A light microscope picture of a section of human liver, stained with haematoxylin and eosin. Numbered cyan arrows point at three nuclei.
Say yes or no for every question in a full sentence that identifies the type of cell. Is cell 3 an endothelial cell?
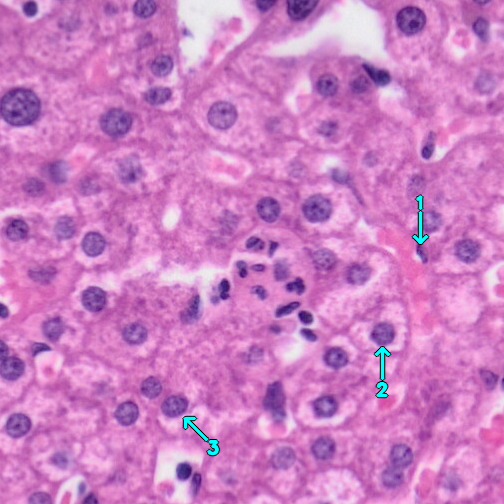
No, the marked cell 3 is not an endothelial cell, being instead a hepatocyte.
